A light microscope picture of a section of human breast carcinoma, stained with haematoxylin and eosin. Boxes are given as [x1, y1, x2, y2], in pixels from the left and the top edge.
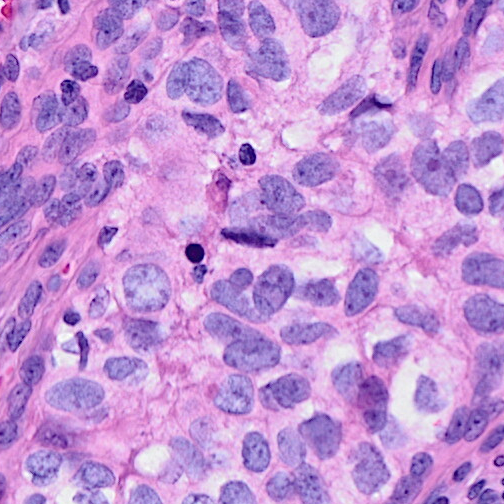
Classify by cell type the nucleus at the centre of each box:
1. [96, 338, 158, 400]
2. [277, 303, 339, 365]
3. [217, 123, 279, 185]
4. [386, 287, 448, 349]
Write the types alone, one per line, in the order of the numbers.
carcinoma cell
carcinoma cell
lymphocyte
carcinoma cell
